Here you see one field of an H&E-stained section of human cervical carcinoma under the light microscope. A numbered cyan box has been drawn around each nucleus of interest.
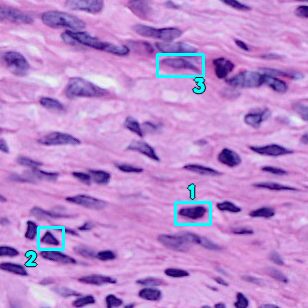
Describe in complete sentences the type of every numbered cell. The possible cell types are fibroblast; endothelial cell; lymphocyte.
Cell 1 is a lymphocyte, cell 2 is a fibroblast and cell 3 is an endothelial cell.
